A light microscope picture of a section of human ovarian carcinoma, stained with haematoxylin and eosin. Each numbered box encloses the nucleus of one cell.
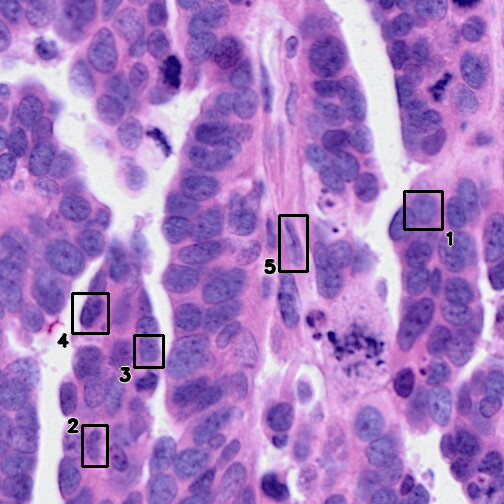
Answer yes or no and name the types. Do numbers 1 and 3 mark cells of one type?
Yes, cells 1 and 3 are alike in being carcinoma cells.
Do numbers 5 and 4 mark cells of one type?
No, the correct reading has cell 5 as a fibroblast and cell 4 as a carcinoma cell.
